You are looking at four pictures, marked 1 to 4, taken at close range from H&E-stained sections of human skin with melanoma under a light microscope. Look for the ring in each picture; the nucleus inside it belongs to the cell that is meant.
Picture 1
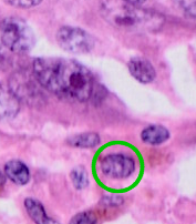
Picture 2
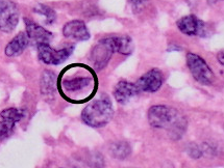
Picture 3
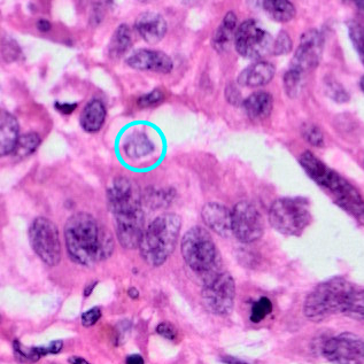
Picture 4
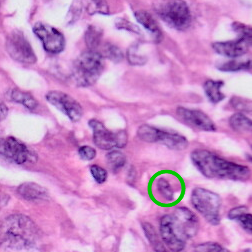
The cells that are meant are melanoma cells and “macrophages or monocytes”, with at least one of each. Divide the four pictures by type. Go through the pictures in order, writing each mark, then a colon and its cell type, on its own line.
1: macrophage or monocyte
2: melanoma cell
3: macrophage or monocyte
4: macrophage or monocyte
